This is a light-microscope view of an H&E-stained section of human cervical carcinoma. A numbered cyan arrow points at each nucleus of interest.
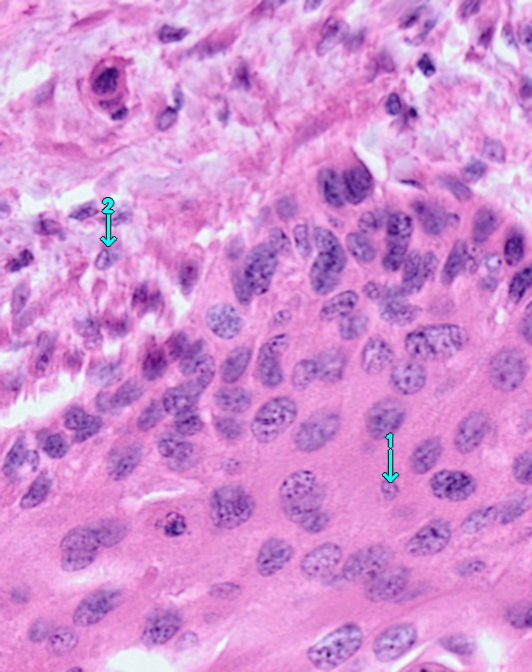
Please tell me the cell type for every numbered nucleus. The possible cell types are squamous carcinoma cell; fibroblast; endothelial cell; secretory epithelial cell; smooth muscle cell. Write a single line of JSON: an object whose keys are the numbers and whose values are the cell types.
{"1": "squamous carcinoma cell", "2": "fibroblast"}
